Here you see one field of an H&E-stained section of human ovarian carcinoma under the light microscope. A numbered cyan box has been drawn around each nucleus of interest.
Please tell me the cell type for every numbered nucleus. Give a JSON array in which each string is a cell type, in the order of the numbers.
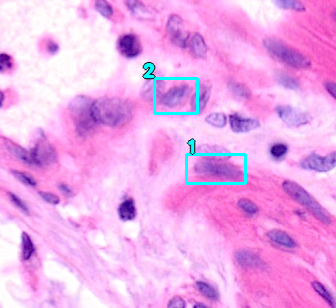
["smooth muscle cell", "endothelial cell"]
